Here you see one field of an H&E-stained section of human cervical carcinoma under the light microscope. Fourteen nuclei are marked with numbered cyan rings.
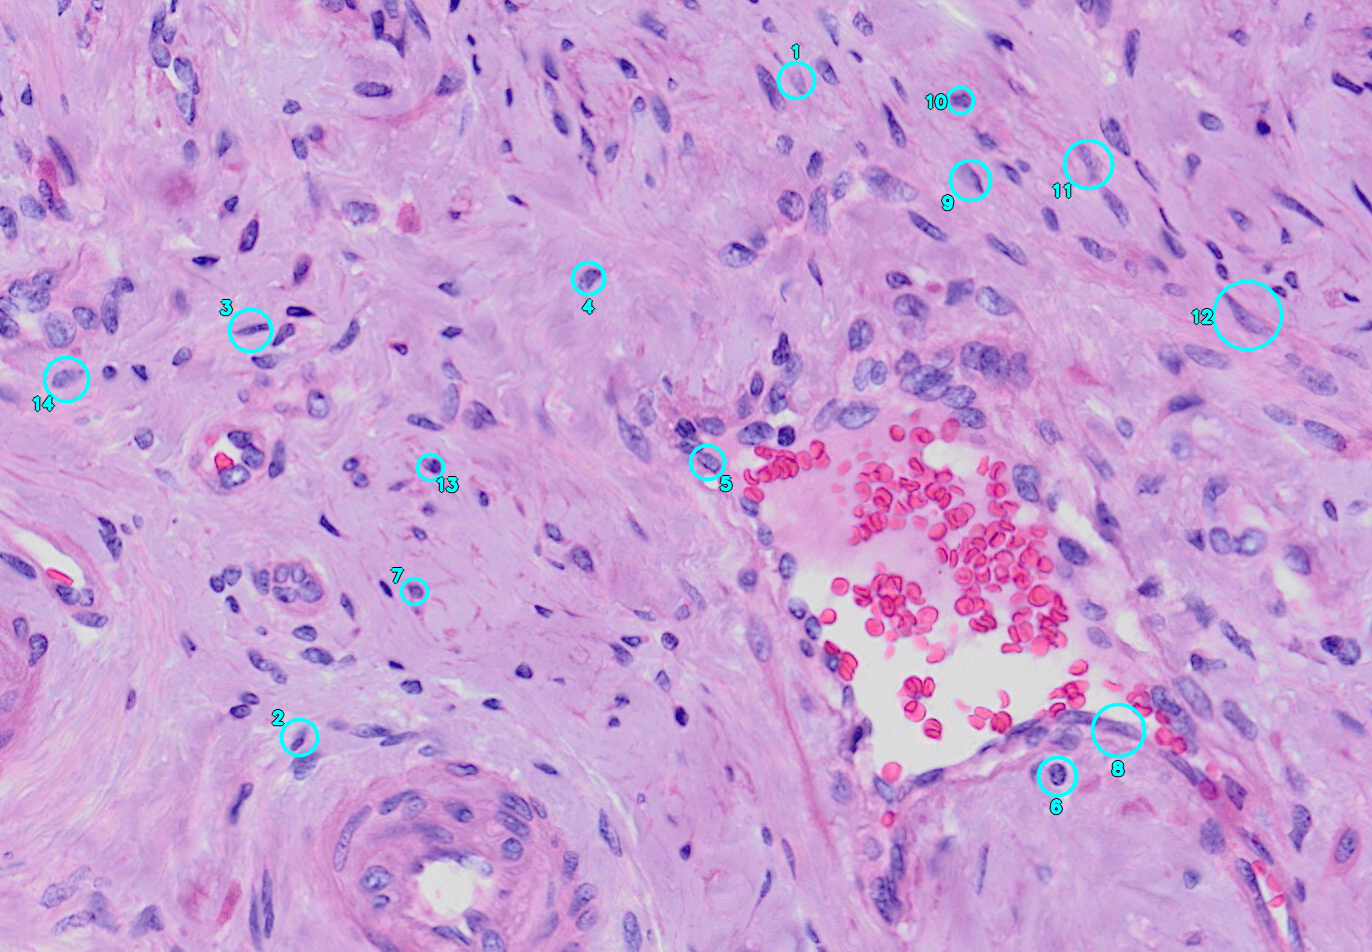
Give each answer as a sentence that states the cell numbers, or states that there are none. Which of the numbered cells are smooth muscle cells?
The cells referred to by the numbers 1, 7, 9, 10, 11, 12 and 13 are smooth muscle cells.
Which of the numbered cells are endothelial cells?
The cells 5 and 8 in this section are endothelial cells.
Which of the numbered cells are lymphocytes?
Only one choice fits: cell 6 is a lymphocyte, and no other.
